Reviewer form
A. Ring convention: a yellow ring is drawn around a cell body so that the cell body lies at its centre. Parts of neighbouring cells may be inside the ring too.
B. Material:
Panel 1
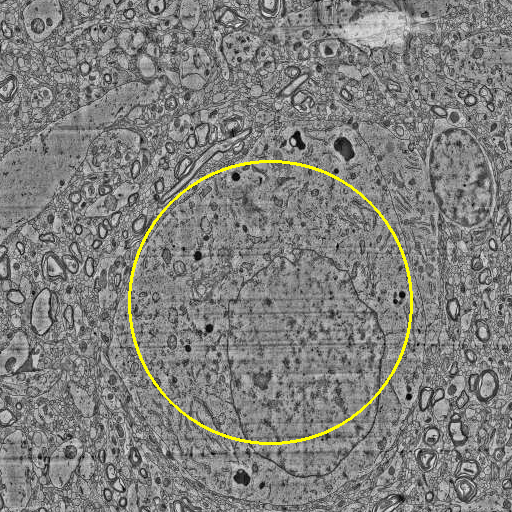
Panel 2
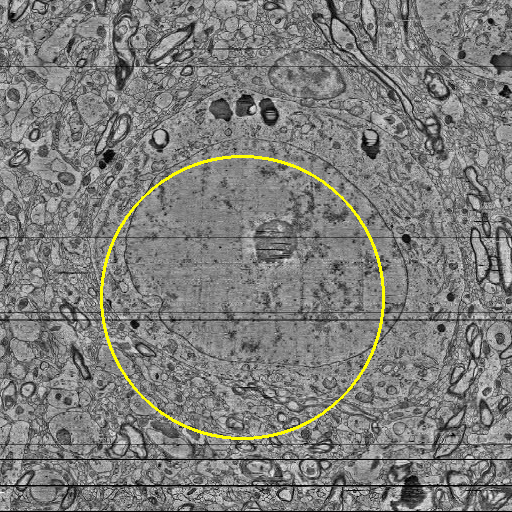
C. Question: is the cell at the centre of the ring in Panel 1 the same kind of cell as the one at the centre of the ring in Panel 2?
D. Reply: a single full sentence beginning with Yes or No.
Yes, the cells in Panel 1 and Panel 2 are the same kind of cell.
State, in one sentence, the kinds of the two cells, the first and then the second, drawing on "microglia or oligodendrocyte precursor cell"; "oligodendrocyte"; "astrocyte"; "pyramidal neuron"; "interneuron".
Each of the ringed cells, first and second, is a pyramidal neuron.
